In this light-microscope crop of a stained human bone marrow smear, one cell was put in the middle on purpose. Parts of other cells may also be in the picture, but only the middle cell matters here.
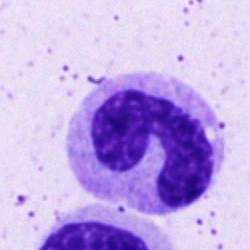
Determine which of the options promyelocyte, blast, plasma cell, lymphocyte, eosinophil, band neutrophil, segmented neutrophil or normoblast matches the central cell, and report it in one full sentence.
Whatever else lies nearby, the middle cell is a band neutrophil.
